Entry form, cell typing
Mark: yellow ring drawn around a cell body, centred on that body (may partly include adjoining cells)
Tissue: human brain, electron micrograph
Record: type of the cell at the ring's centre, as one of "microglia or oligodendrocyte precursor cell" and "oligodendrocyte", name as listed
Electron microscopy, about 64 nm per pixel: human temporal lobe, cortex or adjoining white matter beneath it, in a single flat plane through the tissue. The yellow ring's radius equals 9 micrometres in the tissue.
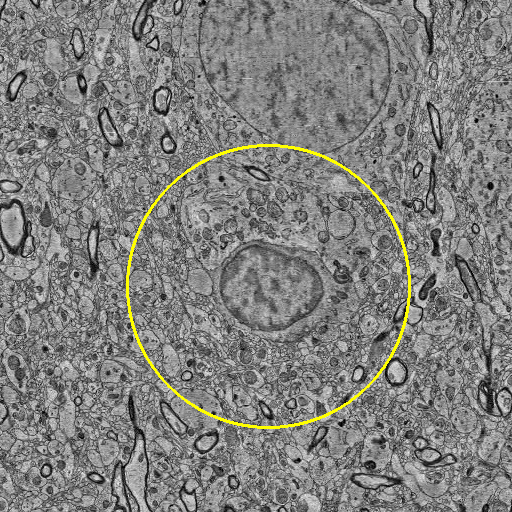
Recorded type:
oligodendrocyte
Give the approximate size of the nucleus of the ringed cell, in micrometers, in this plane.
The ringed cell's nucleus is about 6 micrometres across in this plane.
